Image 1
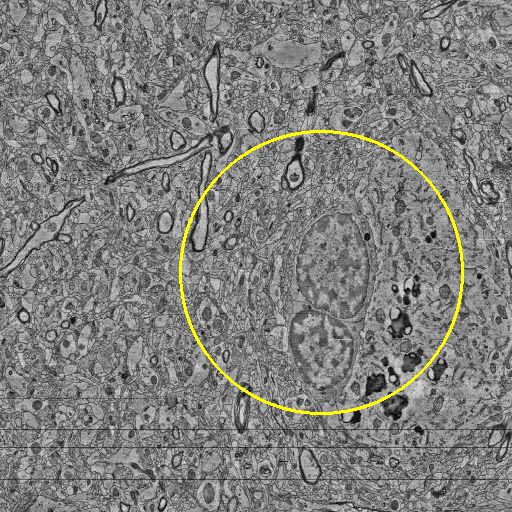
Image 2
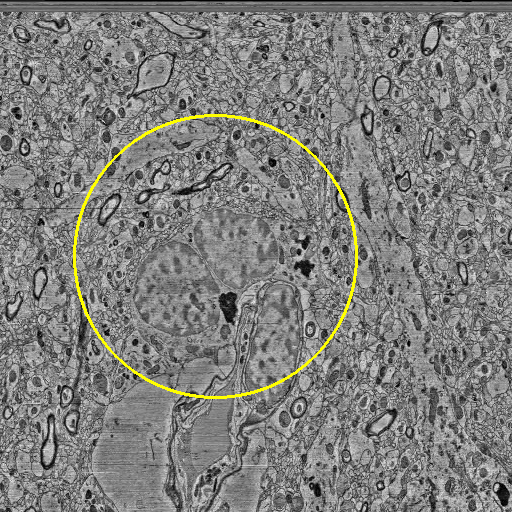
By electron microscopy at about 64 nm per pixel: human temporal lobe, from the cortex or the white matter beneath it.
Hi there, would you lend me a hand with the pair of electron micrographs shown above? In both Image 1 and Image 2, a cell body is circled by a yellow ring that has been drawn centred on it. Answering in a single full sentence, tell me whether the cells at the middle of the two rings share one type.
Yes, the ringed cells in Image 1 and Image 2 share one type.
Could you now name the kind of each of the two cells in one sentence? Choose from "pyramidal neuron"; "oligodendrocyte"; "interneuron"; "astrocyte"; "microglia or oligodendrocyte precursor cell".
Both rings mark an oligodendrocyte, one in each picture.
